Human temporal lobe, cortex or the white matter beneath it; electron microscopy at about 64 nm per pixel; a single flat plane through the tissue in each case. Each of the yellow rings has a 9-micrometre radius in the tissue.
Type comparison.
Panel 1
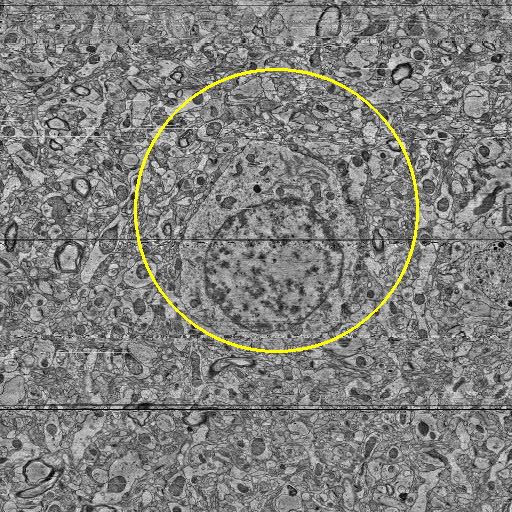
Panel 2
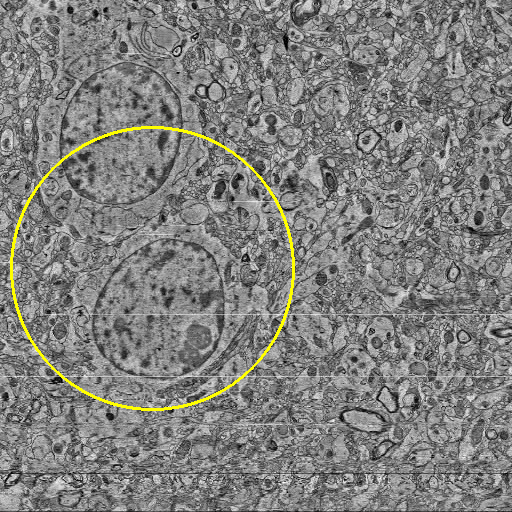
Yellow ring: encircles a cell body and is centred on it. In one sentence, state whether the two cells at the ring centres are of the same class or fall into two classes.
In these panels, the two cells at the ring centres fall into two classes.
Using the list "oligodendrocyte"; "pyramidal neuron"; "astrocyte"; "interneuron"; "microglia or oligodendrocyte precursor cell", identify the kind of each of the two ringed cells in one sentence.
The first is an interneuron and the second is an astrocyte.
